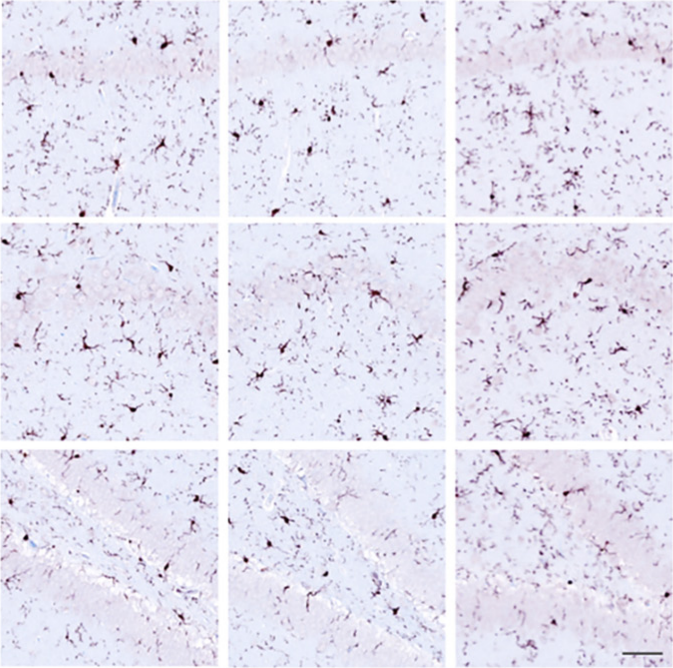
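These are sections of the hippocampus in which microglia are stained red-brown against a pale blue background. Each microglial cell has a small, dark cell body from which several thin processes branch out in different directions. The cells are scattered fairly evenly through the tissue, each occupying its own small territory with little overlap with its neighbours. Faint pinkish bands mark the densely packed layers of neuronal cell bodies, and the microglia lie both within and around these bands. Many tiny dark dots between the cells are cut pieces of fine processes.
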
